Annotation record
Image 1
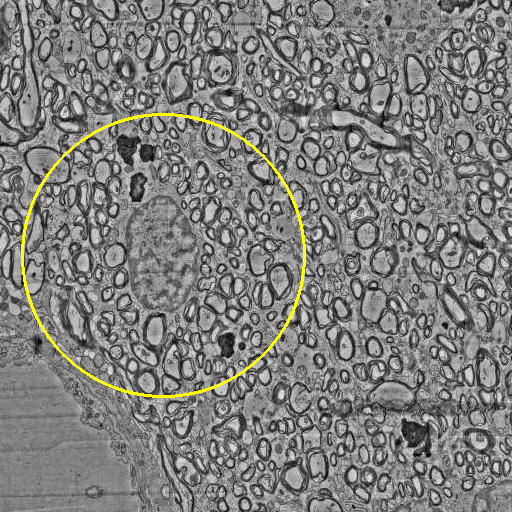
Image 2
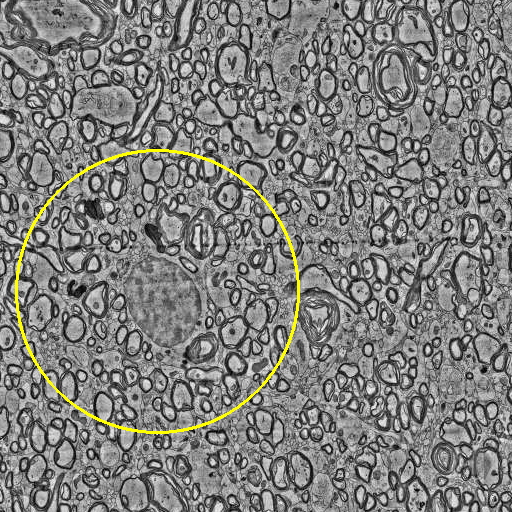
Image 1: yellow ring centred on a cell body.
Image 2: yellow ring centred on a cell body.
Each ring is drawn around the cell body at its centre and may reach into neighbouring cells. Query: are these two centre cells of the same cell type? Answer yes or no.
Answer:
yes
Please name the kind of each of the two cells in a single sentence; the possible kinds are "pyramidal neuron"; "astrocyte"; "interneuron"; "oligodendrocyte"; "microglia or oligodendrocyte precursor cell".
Each one of the two ringed cells is an oligodendrocyte.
